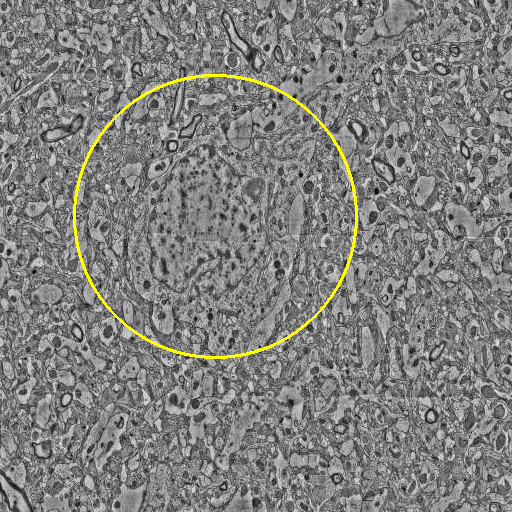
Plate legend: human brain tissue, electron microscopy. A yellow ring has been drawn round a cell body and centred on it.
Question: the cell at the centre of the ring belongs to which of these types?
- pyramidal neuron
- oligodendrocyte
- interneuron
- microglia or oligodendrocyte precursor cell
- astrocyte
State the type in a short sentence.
The cell in the middle of the ring is an interneuron.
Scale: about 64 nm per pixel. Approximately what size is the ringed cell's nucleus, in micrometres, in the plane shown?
The nucleus is approximately 10 micrometers long by 7 micrometers wide in this plane.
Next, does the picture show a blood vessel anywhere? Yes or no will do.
No, there is no blood vessel.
